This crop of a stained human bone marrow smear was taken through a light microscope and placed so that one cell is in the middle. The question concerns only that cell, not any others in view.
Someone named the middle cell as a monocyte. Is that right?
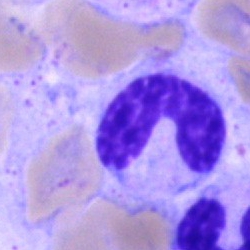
no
